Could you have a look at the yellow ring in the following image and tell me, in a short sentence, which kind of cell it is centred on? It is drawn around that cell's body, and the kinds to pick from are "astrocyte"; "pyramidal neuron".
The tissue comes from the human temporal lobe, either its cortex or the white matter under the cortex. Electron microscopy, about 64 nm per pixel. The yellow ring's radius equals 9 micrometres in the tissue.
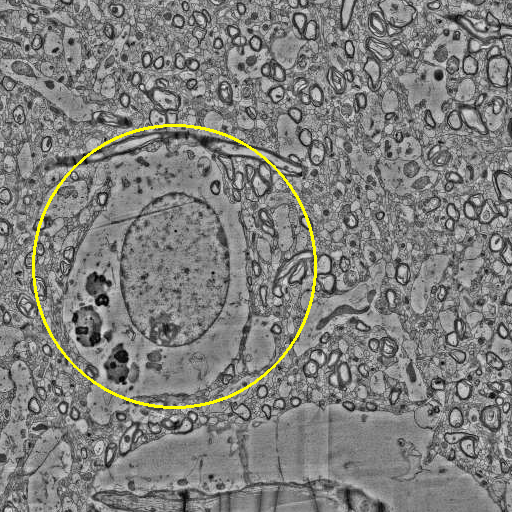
The ring is centred on the body of an astrocyte.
